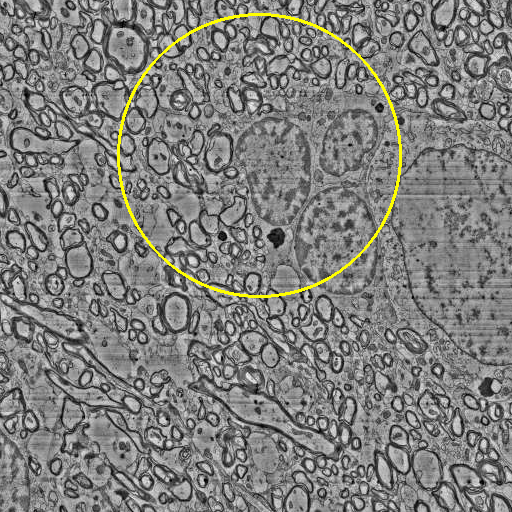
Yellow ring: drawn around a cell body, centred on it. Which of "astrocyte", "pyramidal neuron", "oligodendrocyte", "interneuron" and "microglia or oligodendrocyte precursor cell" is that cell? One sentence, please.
That cell body is from an oligodendrocyte.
